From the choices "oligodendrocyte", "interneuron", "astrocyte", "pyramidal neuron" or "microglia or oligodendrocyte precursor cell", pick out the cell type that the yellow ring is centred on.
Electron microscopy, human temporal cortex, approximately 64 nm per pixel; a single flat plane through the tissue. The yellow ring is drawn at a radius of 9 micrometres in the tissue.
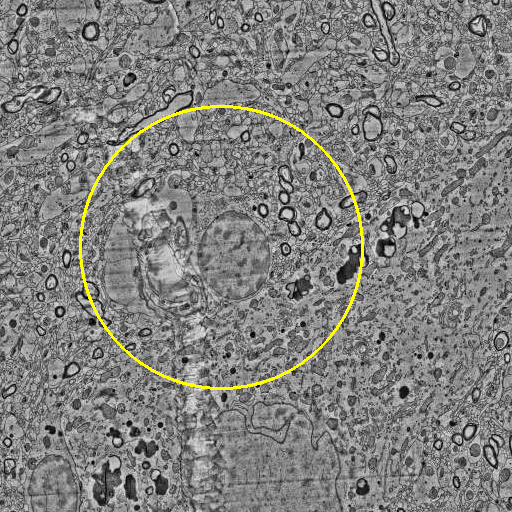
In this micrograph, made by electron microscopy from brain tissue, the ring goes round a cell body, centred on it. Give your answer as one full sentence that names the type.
The yellow ring is centred on an oligodendrocyte, whose cell body it encircles in the picture.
